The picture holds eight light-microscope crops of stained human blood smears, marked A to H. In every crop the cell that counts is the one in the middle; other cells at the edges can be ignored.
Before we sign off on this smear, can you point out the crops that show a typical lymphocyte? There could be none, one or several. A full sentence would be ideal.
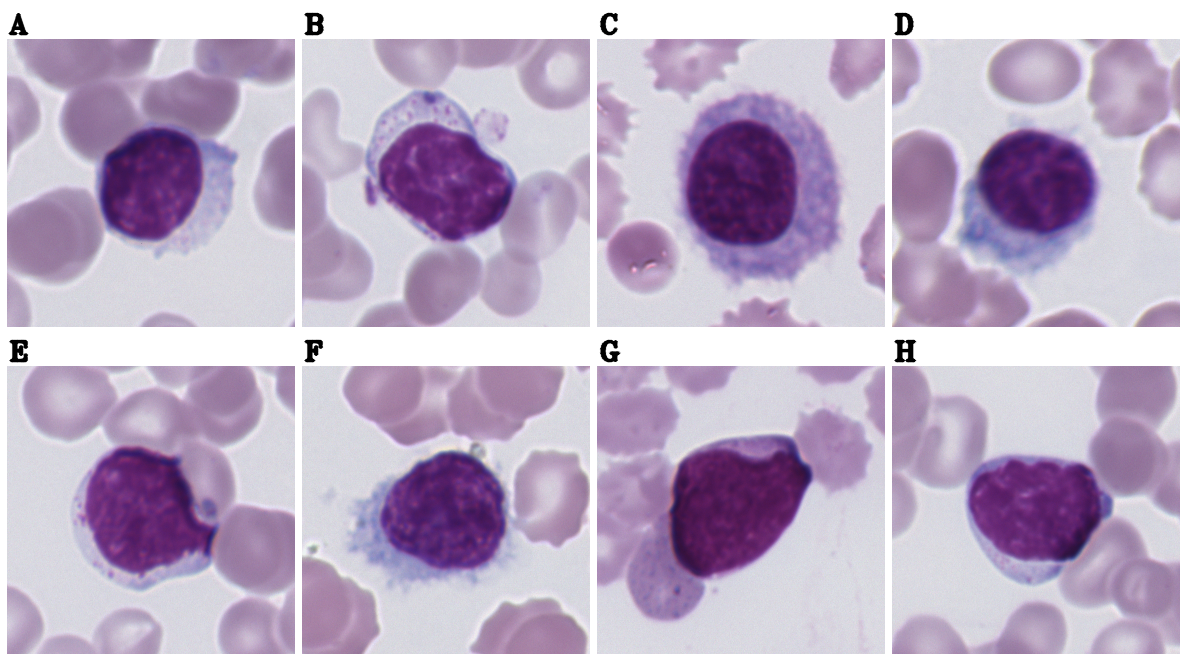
When all the crops are reviewed, none is found to show a typical lymphocyte.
